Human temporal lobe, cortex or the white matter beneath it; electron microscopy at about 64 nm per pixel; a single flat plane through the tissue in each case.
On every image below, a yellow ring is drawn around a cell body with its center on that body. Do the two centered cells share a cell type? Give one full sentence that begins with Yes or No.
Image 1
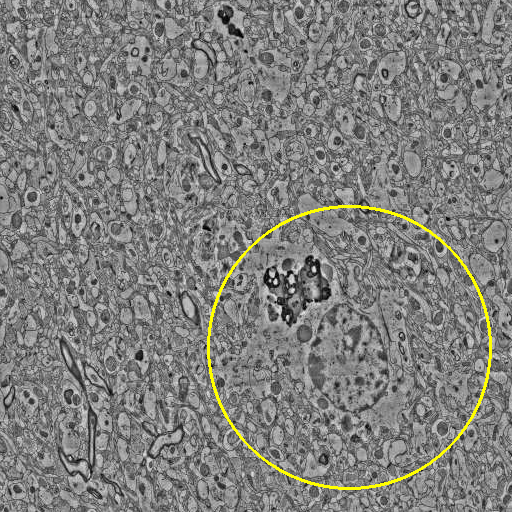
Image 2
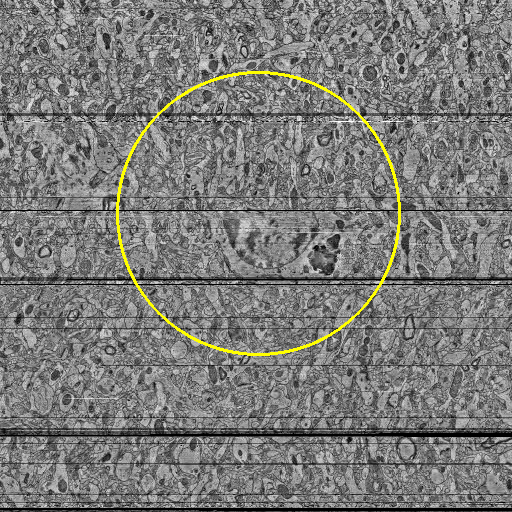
Yes, the centered cells in the two images are of a single cell type.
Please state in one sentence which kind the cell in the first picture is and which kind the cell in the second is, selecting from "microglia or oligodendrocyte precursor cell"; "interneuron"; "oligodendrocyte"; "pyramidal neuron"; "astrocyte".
Each of the two rings surrounds an astrocyte.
